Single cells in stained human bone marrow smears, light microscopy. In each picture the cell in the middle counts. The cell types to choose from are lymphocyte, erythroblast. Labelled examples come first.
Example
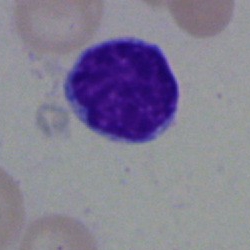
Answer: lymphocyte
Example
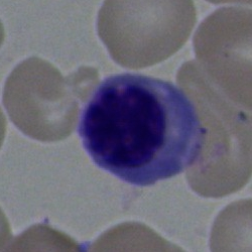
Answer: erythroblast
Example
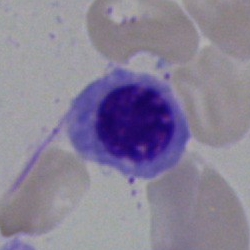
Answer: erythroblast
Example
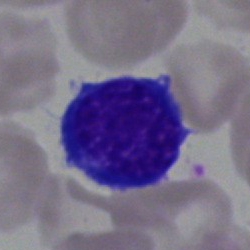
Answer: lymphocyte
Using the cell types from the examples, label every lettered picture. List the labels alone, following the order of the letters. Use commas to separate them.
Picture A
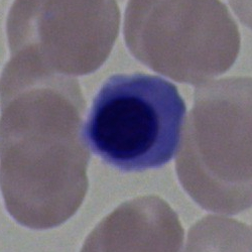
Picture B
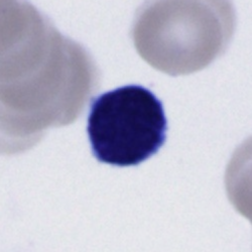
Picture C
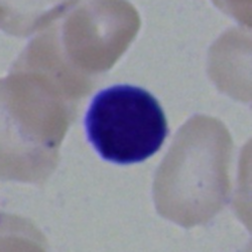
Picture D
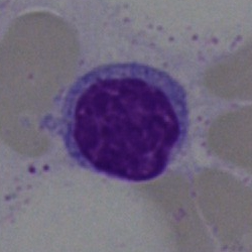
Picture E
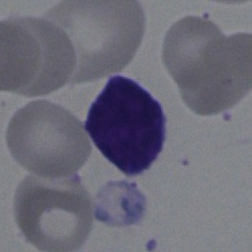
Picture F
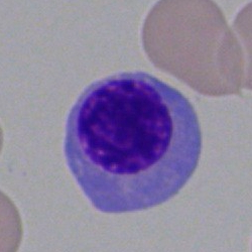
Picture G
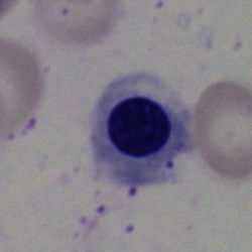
erythroblast, lymphocyte, lymphocyte, lymphocyte, lymphocyte, erythroblast, erythroblast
